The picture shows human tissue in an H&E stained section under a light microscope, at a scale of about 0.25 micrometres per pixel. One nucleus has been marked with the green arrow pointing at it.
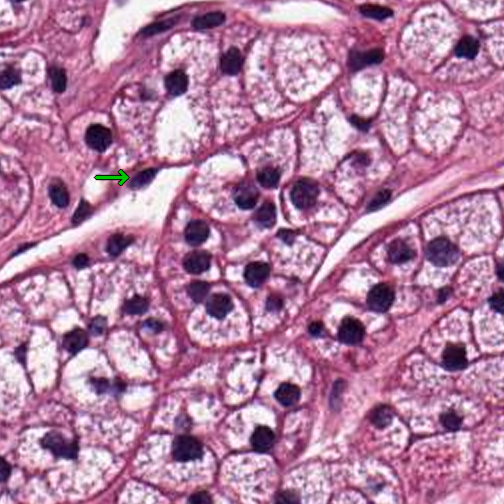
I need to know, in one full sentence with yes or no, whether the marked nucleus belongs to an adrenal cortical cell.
No, the cell to which the marked nucleus belongs is a supporting cell rather than an adrenal cortical cell.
